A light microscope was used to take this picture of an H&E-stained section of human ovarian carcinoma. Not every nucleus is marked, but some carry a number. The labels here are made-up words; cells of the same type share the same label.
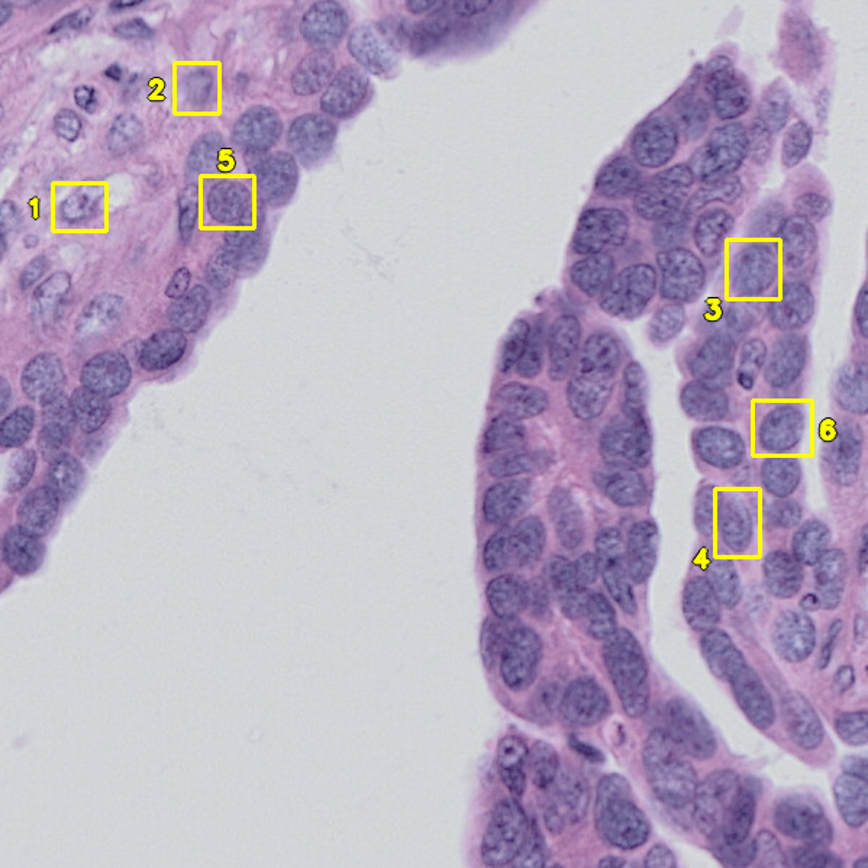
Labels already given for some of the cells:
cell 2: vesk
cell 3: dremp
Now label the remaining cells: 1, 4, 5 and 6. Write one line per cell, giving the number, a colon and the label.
1: vesk
4: dremp
5: dremp
6: dremp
